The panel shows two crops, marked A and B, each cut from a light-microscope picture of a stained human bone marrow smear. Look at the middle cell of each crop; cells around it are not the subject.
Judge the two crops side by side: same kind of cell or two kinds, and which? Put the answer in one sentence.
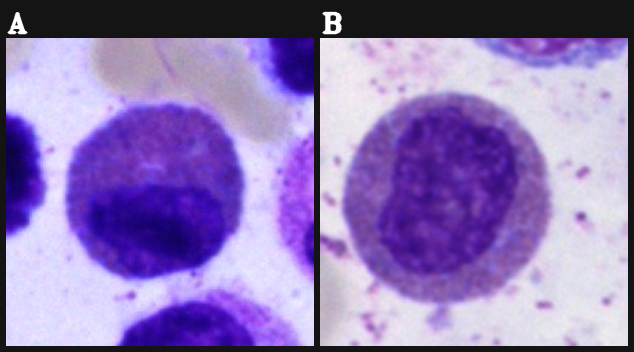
Yes, as an answer for this item, both crops show eosinophils.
